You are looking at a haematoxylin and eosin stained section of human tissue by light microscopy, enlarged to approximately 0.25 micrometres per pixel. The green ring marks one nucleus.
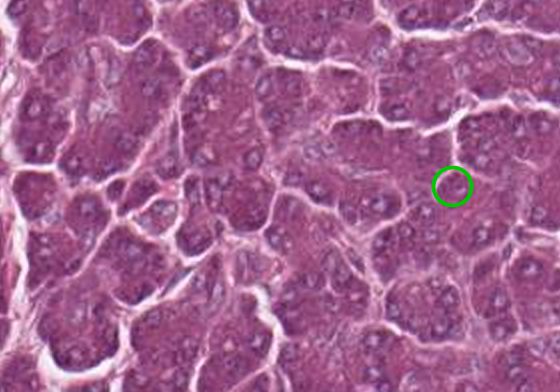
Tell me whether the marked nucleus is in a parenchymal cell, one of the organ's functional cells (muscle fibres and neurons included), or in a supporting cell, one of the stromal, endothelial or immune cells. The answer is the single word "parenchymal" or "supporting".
parenchymal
